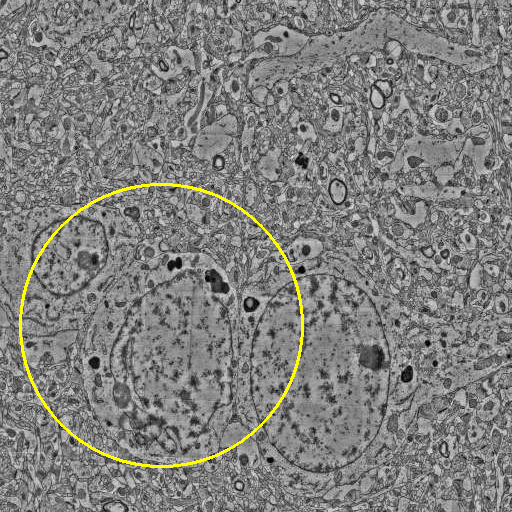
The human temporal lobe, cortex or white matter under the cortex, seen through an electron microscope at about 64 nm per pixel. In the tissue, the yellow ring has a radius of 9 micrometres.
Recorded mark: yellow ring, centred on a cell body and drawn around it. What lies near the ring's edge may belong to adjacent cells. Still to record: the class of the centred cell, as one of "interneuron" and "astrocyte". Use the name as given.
interneuron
